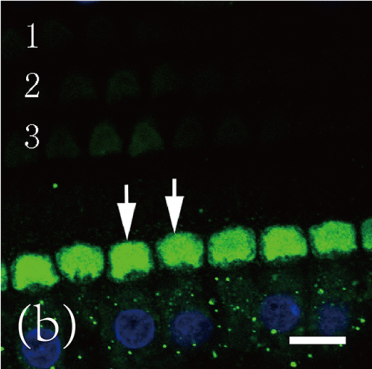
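This surface view of the hearing sensory epithelium shows three parallel rows of outer hair cells above a single row of inner hair cells. The outer hair cells appear as faint green, rounded profiles, while each inner hair cell carries a bright green, flat cap at its apical end. Round blue nuclei lie below the row of inner hair cells, and scattered small green dots are seen in between.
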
